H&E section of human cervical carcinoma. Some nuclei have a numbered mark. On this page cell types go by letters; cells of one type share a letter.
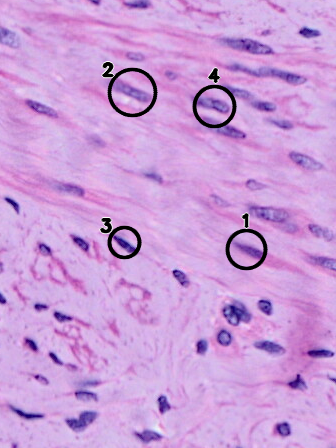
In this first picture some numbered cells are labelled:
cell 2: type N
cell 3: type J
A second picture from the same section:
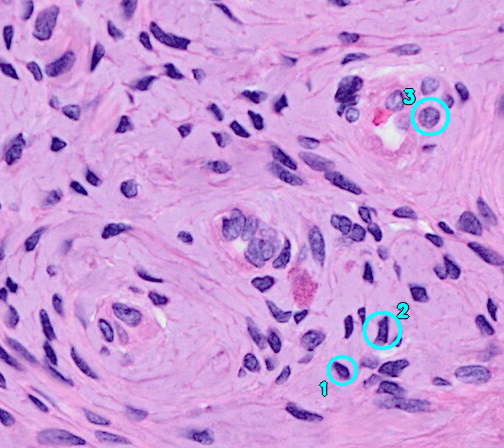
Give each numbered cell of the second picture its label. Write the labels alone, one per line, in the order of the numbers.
type J
type J
type N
